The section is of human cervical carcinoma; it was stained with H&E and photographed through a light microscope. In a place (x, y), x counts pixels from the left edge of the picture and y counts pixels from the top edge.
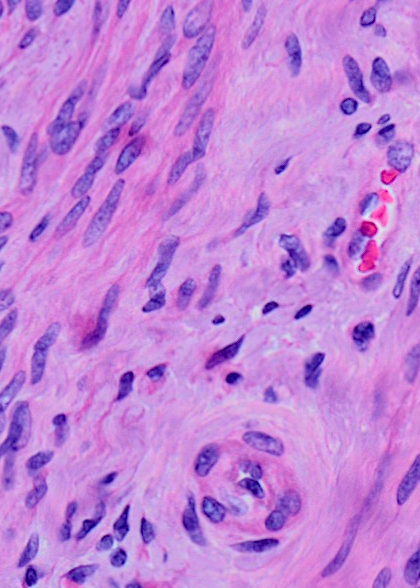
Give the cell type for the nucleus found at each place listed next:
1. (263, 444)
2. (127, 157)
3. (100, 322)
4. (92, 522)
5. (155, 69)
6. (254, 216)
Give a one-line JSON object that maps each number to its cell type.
{"1": "smooth muscle cell", "2": "smooth muscle cell", "3": "smooth muscle cell", "4": "fibroblast", "5": "smooth muscle cell", "6": "fibroblast"}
